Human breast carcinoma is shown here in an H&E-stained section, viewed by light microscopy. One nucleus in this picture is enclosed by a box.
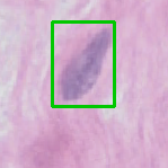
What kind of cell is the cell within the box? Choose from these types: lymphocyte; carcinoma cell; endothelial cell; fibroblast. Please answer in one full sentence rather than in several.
For the purposes of cell typing, the cell within the box is categorized as a fibroblast.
